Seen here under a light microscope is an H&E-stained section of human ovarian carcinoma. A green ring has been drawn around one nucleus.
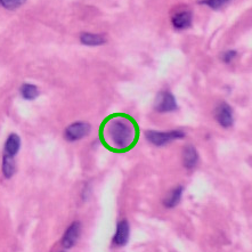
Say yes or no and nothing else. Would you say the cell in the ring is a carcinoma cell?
no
